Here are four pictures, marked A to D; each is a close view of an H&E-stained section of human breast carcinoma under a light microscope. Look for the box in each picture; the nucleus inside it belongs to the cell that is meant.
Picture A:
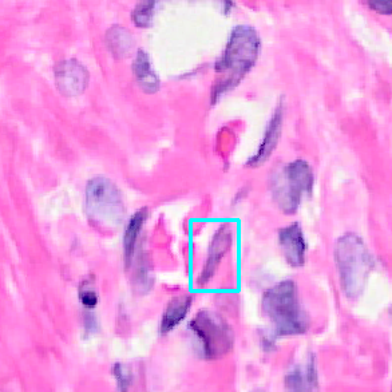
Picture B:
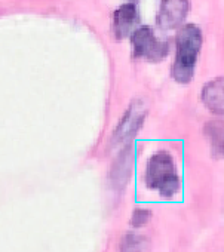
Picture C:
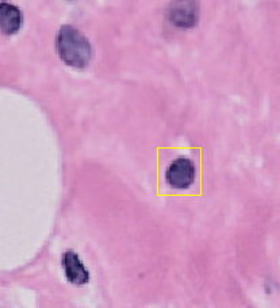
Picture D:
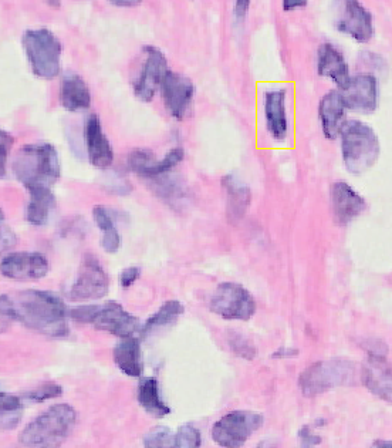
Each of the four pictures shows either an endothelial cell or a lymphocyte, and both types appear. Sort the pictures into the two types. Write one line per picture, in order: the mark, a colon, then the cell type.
A: endothelial cell
B: lymphocyte
C: lymphocyte
D: lymphocyte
